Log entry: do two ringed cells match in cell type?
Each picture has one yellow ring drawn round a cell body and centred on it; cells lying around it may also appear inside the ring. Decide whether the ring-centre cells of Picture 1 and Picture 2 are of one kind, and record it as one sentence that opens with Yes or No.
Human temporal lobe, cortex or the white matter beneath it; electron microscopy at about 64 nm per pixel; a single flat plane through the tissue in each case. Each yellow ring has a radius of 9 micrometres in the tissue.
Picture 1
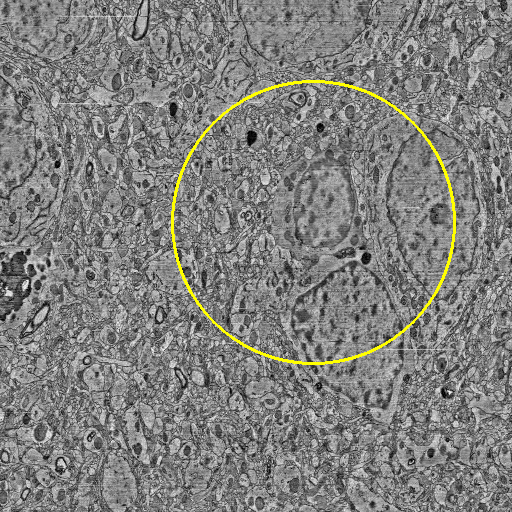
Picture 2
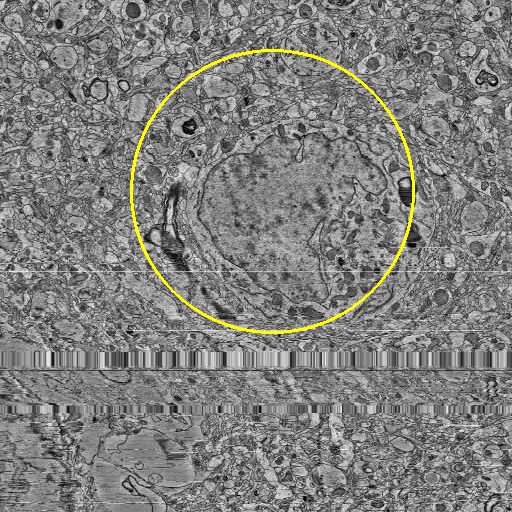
No, the cells at the ring centres of the two pictures belong to two kinds.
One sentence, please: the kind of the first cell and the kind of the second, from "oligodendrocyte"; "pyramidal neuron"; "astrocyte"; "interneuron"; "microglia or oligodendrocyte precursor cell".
The ring in the first picture surrounds an oligodendrocyte, and the ring in the second surrounds an interneuron.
